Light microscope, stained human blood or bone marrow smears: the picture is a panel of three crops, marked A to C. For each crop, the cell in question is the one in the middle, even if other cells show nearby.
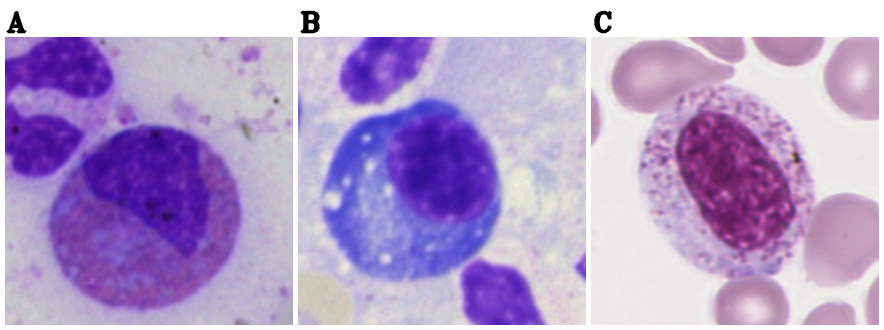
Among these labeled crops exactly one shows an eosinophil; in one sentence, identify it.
Crop A is the right one; it is the crop showing an eosinophil.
